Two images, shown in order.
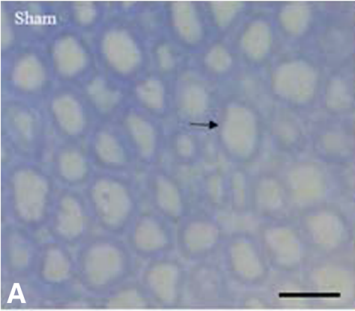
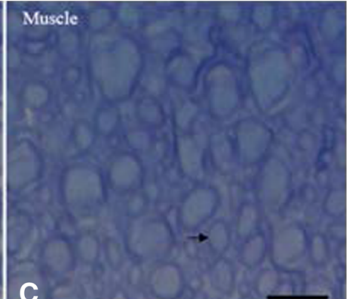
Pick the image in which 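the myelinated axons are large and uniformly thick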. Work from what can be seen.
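The first image. Second image: many fiber profiles are small, with more space between them. First image: fiber profiles are mostly large, pale and tightly packed.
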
